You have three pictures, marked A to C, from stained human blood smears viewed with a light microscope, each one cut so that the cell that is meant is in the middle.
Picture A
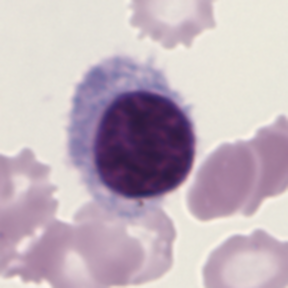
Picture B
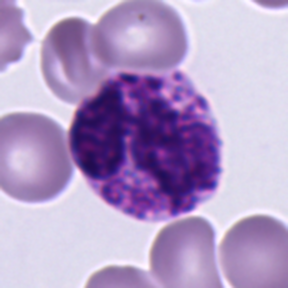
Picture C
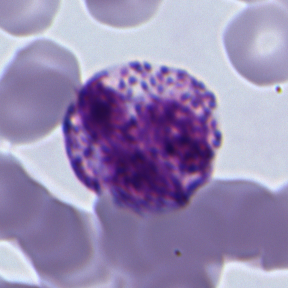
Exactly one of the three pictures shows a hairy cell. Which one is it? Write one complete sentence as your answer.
Picture A shows the hairy cell.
